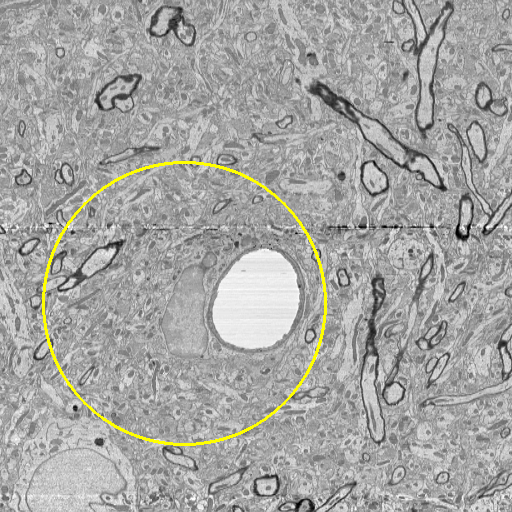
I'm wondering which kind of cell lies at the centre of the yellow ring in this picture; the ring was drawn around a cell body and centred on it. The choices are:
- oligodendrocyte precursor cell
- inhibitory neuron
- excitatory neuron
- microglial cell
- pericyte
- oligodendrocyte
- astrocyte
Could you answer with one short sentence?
At the centre of the ring lies a microglial cell.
